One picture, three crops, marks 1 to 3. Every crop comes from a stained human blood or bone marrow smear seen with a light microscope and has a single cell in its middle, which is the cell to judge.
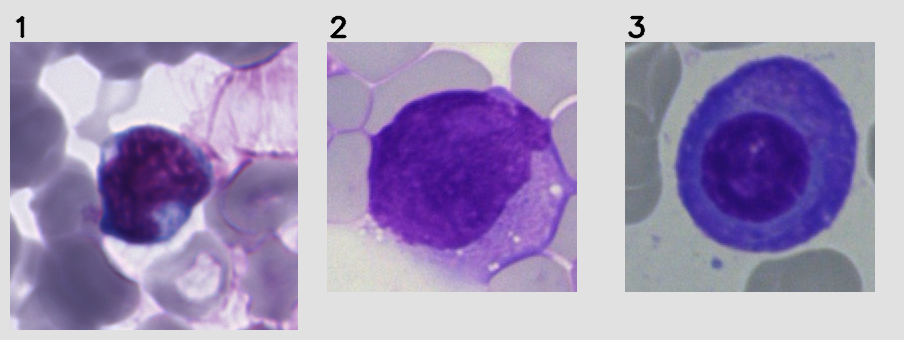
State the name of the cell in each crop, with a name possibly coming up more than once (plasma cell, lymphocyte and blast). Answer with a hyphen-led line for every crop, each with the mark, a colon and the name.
- 1: lymphocyte
- 2: blast
- 3: plasma cell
